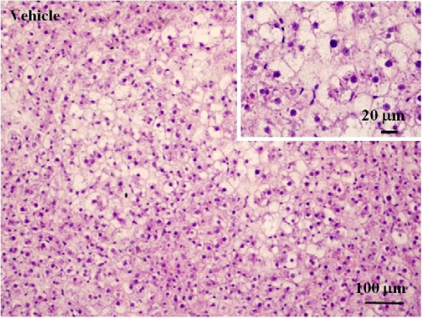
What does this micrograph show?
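This is liver tissue made of hepatocytes arranged in sheets, each with a round purple nucleus and pink to pale cytoplasm. Many hepatocytes look swollen, with cytoplasm that is clear and empty-looking or broken up by rounded vacuoles. The enlarged inset shows these pale, vacuolated cells with their nuclei often set off-centre. The clear spaces fit fat vacuoles within the hepatocytes, as in a fatty liver.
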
